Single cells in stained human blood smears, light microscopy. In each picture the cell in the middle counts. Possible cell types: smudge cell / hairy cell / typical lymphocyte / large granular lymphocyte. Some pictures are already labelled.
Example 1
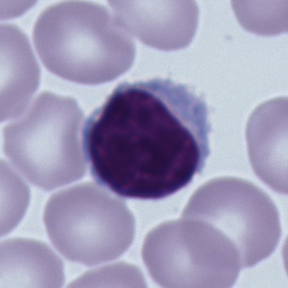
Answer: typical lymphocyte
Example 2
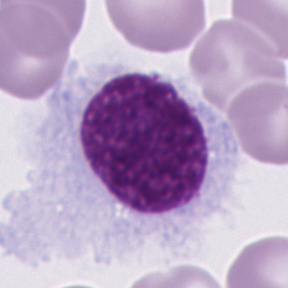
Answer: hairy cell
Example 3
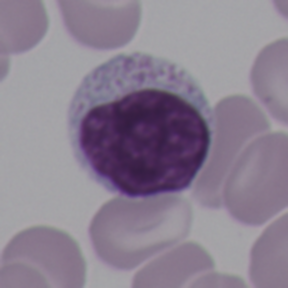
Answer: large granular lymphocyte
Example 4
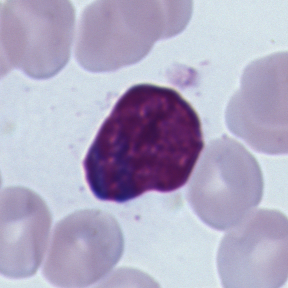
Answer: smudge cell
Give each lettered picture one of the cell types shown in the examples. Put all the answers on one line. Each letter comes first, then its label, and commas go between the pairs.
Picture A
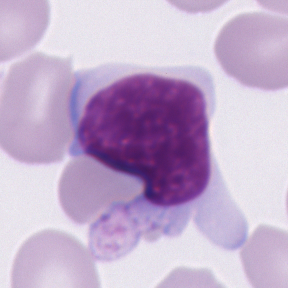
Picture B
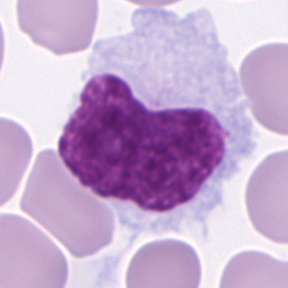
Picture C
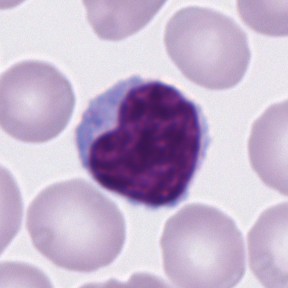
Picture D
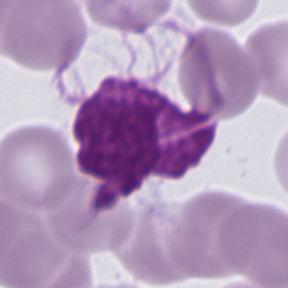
A large granular lymphocyte, B hairy cell, C typical lymphocyte, D smudge cell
